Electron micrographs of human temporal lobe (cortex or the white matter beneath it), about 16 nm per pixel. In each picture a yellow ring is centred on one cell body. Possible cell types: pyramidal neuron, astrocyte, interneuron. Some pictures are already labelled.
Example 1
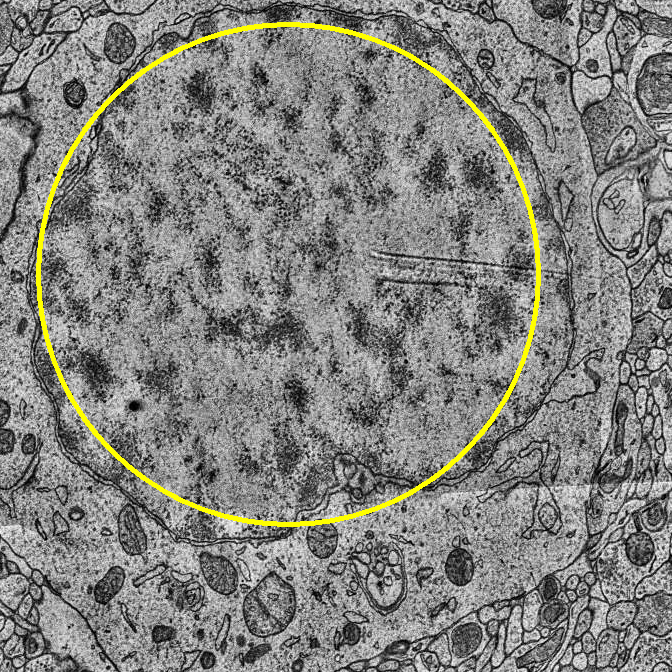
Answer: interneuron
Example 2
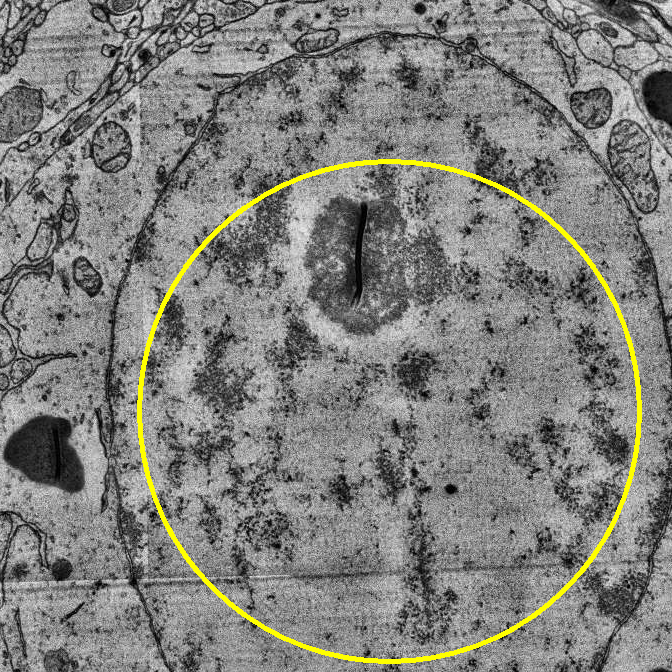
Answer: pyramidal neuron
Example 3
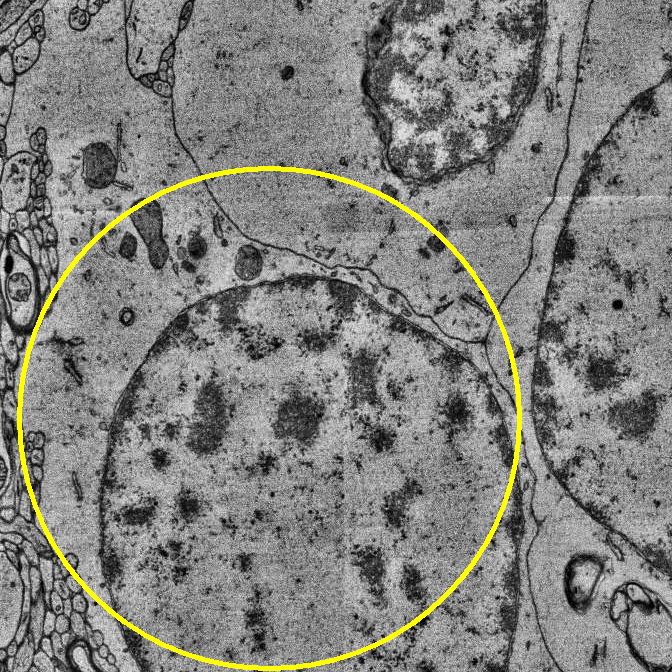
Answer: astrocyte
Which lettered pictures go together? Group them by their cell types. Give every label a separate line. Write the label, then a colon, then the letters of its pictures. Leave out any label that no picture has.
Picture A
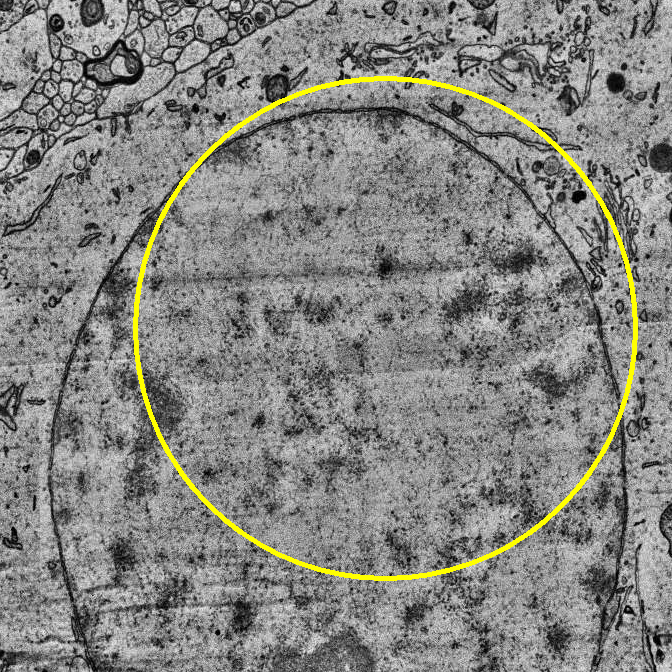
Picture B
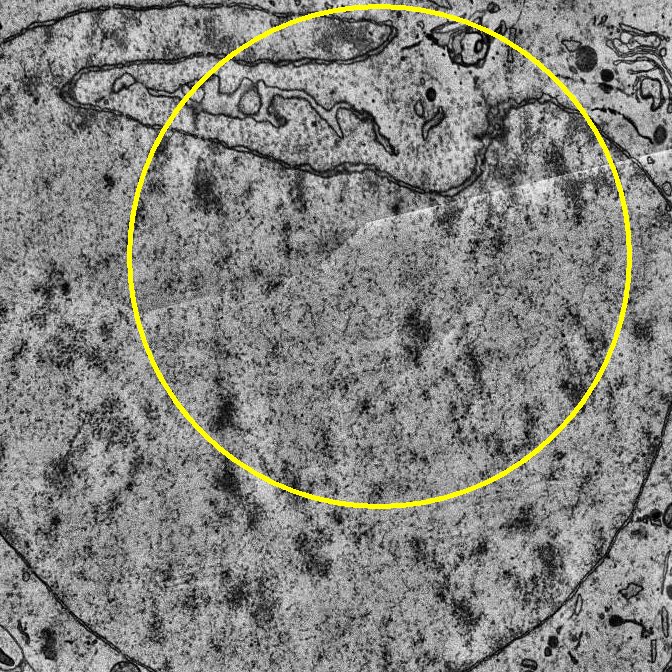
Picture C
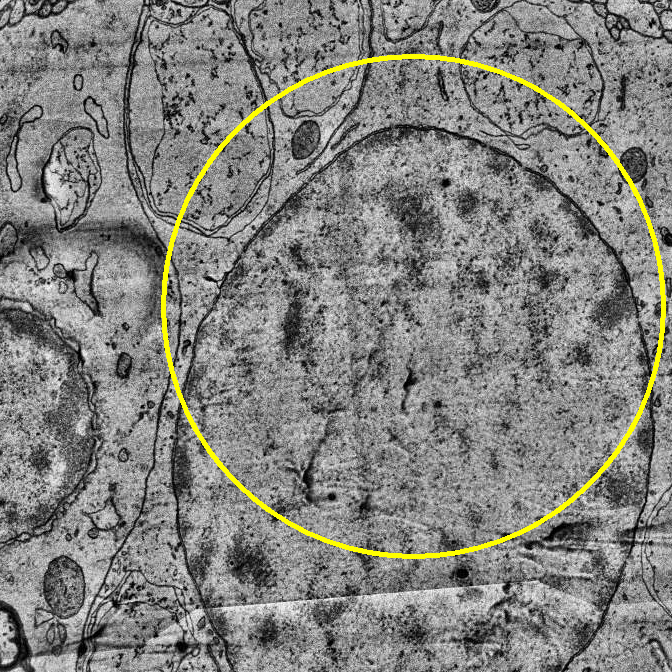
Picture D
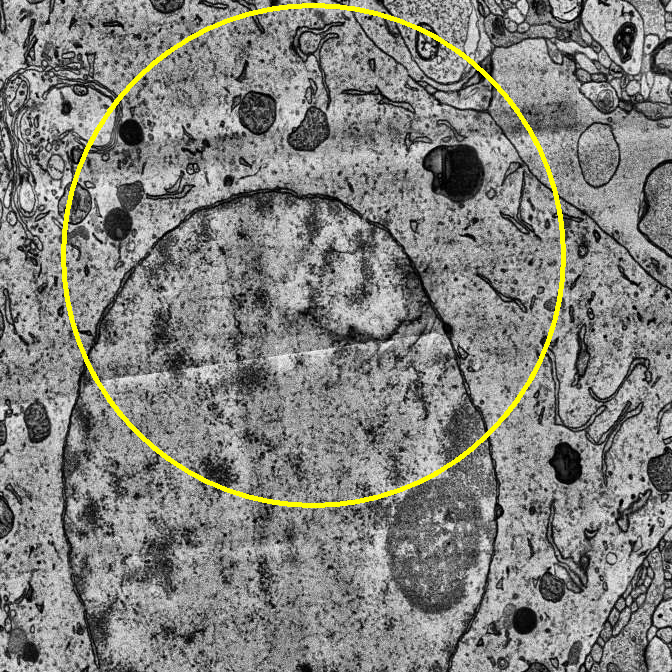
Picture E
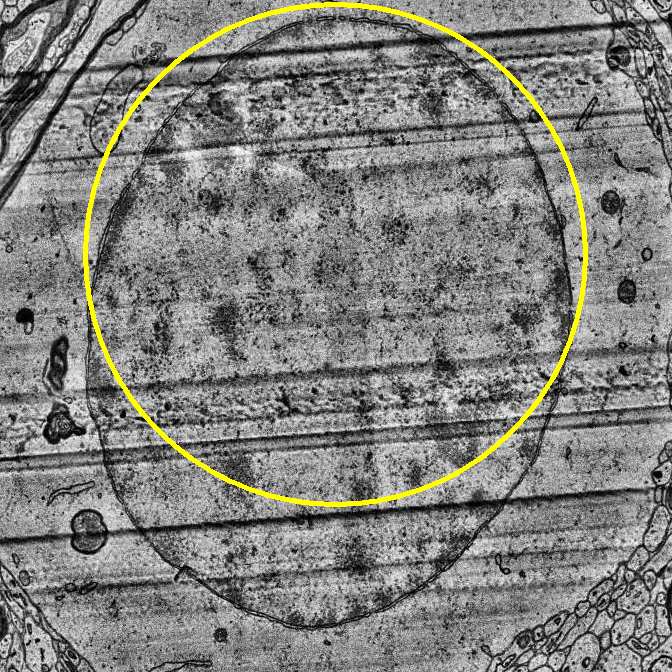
pyramidal neuron: A, B, D
astrocyte: C, E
